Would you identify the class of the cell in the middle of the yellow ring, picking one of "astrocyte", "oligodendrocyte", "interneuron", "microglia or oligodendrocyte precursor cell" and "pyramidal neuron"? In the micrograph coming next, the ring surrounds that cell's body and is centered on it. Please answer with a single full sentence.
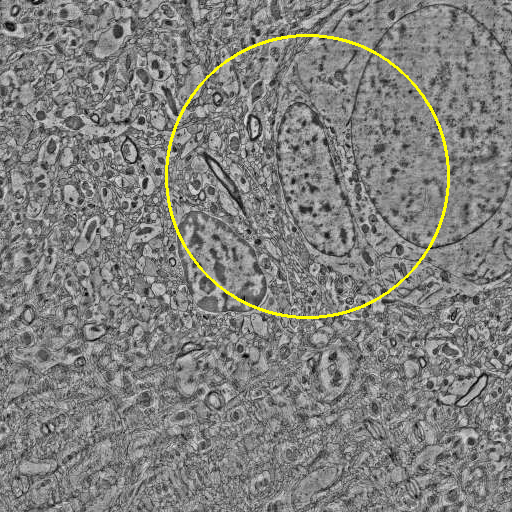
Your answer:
In the micrograph, it is a microglial cell or oligodendrocyte precursor cell whose body lies at the ring's center.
